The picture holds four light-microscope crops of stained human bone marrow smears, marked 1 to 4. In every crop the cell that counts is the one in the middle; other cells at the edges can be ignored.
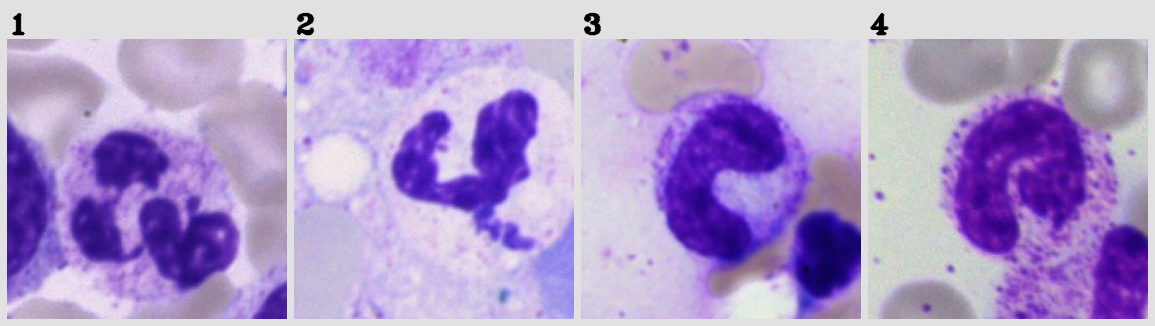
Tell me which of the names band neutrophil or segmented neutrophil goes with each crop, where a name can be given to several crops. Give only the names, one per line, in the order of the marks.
segmented neutrophil
segmented neutrophil
band neutrophil
segmented neutrophil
